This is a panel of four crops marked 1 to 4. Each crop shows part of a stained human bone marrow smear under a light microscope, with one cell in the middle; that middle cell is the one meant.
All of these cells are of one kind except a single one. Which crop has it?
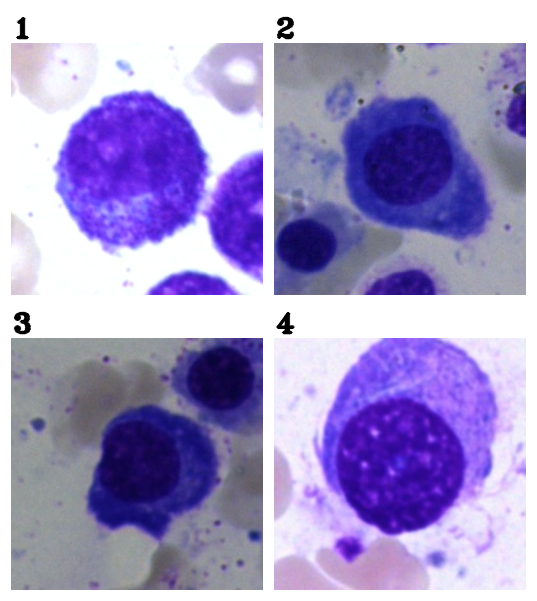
1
